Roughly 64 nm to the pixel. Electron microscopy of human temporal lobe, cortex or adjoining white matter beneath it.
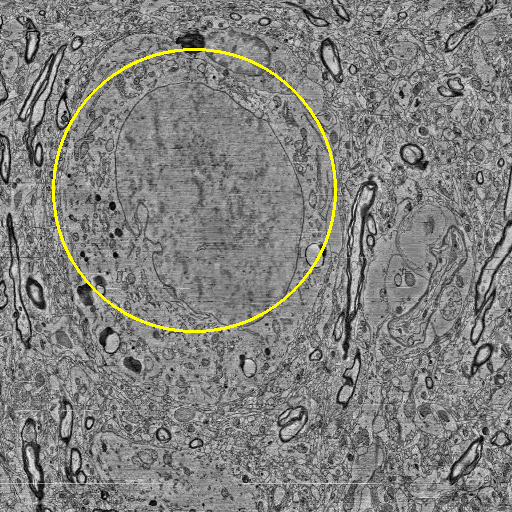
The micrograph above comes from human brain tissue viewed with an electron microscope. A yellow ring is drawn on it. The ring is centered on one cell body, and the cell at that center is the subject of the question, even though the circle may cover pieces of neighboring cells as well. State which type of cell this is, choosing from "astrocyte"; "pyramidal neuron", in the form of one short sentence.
The cell the ring is centered on is a pyramidal neuron.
